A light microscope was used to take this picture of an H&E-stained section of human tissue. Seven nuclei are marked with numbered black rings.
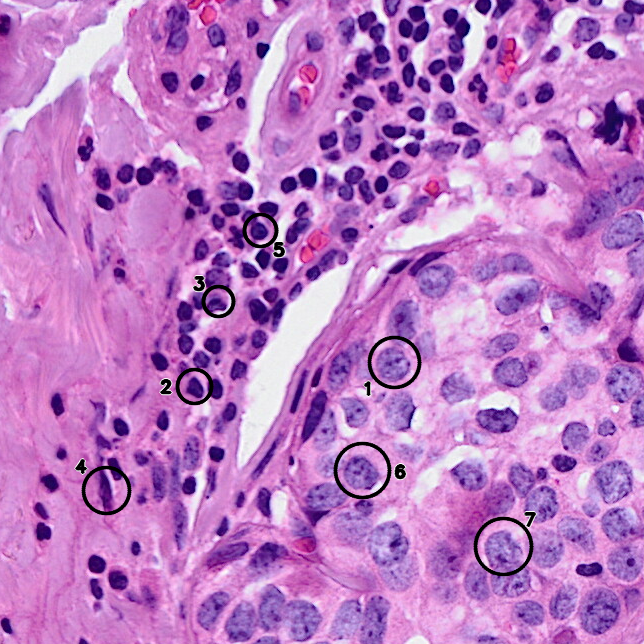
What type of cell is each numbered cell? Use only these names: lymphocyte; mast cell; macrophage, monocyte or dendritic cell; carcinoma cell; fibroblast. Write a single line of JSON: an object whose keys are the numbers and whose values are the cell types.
{"1": "carcinoma cell", "2": "lymphocyte", "3": "lymphocyte", "4": "fibroblast", "5": "lymphocyte", "6": "carcinoma cell", "7": "carcinoma cell"}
